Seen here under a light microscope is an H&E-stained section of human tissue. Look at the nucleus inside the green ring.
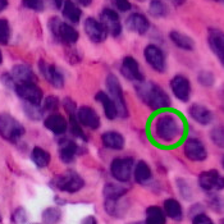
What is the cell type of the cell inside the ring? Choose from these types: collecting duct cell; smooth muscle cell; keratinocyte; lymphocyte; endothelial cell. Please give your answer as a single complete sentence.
The classification of the cell inside the ring is as a lymphocyte.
